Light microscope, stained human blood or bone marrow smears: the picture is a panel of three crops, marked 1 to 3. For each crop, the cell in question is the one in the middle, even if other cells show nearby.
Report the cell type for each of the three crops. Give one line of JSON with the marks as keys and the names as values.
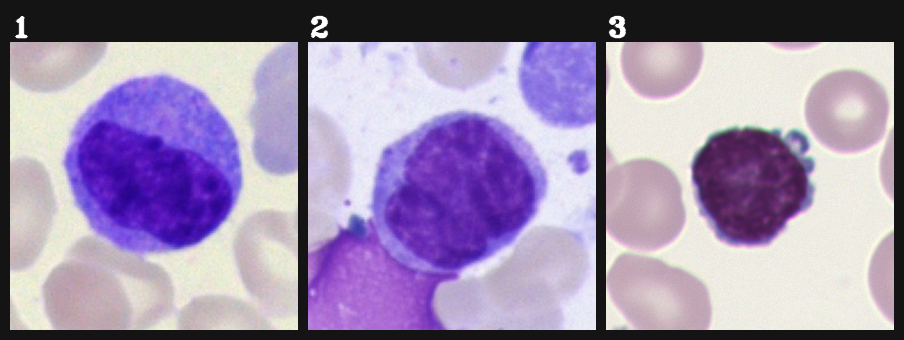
{"1": "monocyte", "2": "monocyte", "3": "lymphocyte"}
